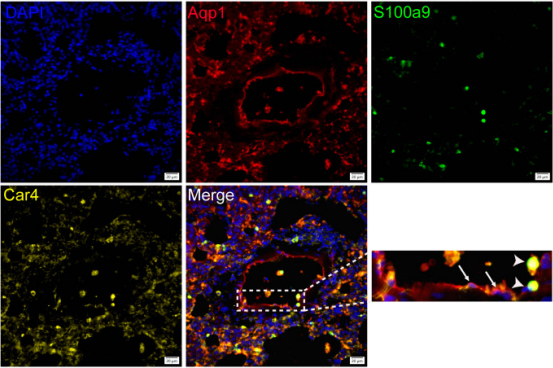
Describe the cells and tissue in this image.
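This is densely cellular inflamed tissue with a large vessel in the middle, its wall made of endothelial cells, and a few neutrophils nearby. Countless blue nuclei fill the tissue between open spaces. The vessel is outlined by a thin red lining with flat cells along it. Red and yellow color is spread widely through the surrounding tissue as well.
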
